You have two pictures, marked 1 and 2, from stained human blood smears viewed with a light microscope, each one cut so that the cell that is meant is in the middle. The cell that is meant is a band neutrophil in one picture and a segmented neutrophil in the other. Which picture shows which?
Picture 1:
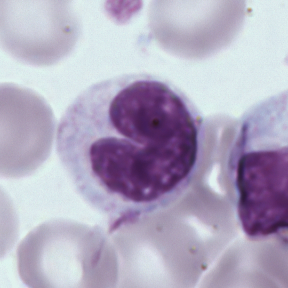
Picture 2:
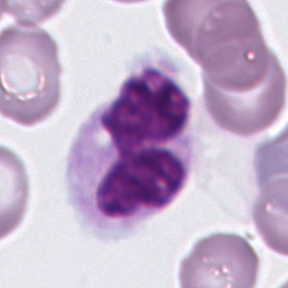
1: band neutrophil
2: segmented neutrophil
